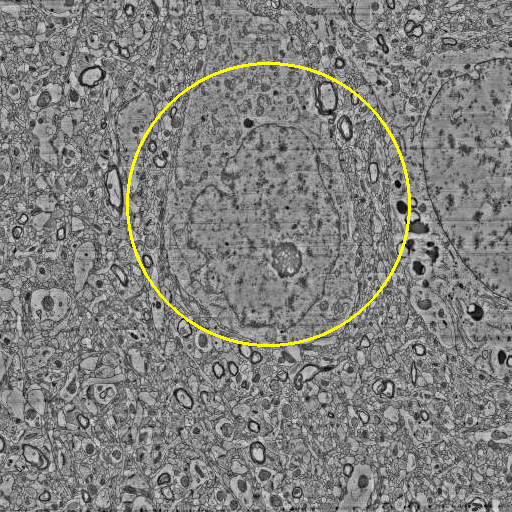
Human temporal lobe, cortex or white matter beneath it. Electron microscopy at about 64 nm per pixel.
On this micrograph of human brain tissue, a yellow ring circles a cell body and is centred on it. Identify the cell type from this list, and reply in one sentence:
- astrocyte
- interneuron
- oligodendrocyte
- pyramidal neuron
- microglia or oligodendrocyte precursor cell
The cell at the centre is an interneuron.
